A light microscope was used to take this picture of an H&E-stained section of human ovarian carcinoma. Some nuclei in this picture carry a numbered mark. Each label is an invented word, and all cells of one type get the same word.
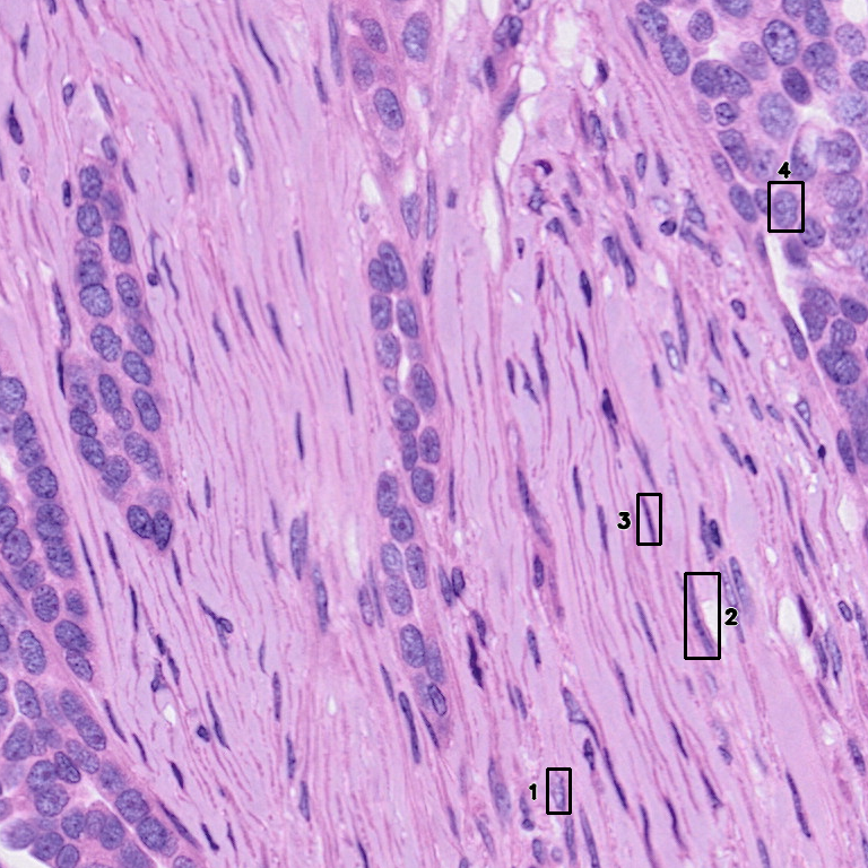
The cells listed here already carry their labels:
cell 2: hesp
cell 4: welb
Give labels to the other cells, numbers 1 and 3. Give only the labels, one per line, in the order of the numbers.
hesp
hesp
